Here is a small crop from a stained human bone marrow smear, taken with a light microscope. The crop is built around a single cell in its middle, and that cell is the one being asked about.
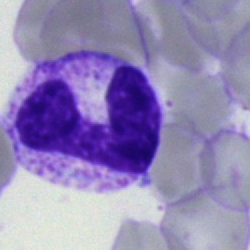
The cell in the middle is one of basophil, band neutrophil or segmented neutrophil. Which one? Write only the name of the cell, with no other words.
band neutrophil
